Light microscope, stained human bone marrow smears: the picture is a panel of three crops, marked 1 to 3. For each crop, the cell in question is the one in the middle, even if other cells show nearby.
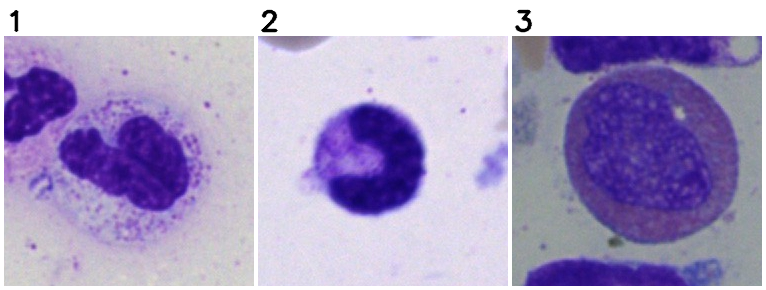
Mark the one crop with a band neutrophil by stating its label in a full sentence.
The crop with a band neutrophil in it is crop 2.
